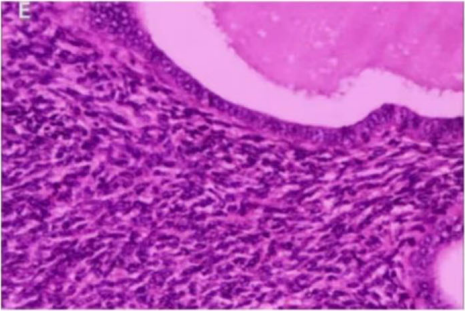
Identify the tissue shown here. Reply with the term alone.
Dense mesenchyme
